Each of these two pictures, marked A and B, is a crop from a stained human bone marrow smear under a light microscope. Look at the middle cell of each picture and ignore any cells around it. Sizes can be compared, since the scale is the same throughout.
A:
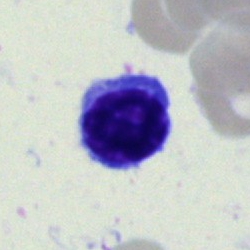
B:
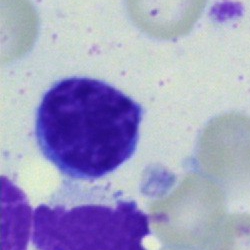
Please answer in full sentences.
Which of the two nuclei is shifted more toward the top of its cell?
Seen within its cell, the nucleus in crop B lies further toward the top.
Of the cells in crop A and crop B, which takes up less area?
Crop A holds the smaller cell, since the cell in crop B covers about 1.5 times as much area.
